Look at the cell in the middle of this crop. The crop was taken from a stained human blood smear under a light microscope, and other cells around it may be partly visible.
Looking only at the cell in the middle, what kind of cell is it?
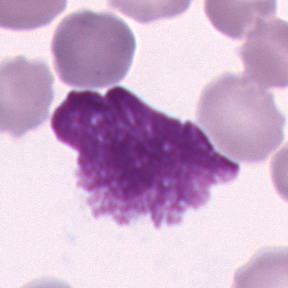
smudge cell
